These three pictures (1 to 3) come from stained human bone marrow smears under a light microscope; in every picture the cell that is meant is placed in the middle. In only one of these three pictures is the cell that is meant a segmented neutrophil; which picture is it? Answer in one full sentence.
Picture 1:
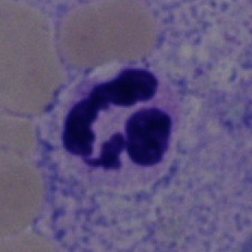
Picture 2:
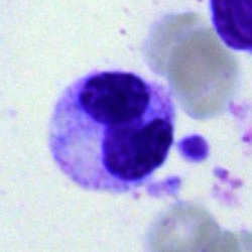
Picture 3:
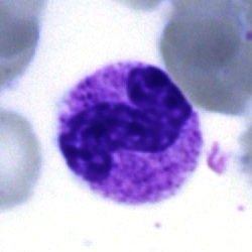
Picture 1 shows the segmented neutrophil.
